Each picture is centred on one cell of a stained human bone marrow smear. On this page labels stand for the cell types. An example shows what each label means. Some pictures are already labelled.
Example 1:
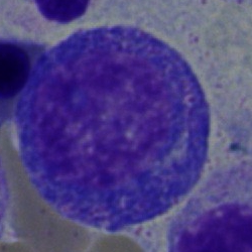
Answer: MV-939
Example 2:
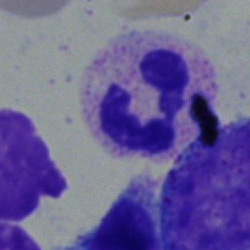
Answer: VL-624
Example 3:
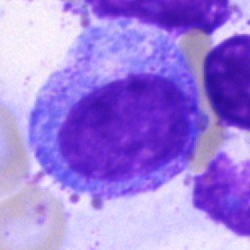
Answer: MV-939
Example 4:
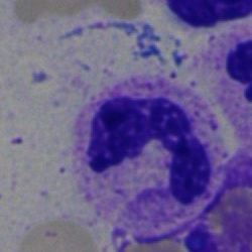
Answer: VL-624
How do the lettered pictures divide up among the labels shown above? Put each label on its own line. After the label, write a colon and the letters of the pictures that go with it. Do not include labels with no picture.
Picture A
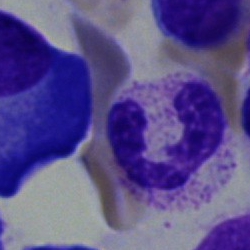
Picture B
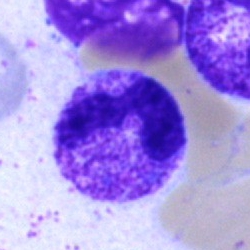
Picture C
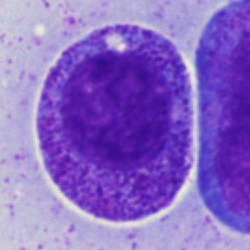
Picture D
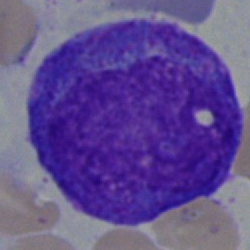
MV-939: C, D
VL-624: A, B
